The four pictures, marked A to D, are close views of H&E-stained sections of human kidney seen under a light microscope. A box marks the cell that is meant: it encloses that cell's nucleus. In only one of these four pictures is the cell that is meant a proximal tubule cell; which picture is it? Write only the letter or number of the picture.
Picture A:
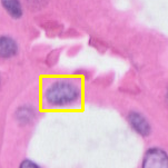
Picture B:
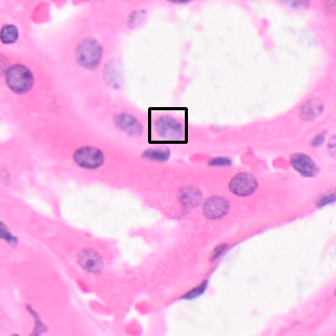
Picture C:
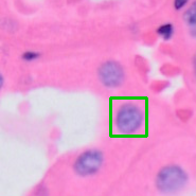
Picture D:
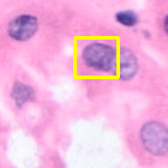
D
